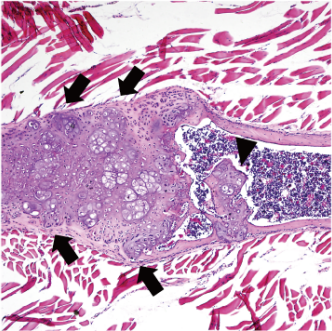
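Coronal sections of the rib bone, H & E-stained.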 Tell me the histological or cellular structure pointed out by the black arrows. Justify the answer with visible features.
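Nodular groups of large cells with clear lacunae in pale purple matrix. The nodules reach the margin of the cartilage next to muscle.
Answer: hypertrophic chondrocyte clusters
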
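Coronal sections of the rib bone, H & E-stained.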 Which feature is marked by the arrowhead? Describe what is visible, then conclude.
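Cartilage islands. A pale pink-lilac patch of matrix lies within the dark purple marrow. Rounded cells sit in lacunae within the patch.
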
